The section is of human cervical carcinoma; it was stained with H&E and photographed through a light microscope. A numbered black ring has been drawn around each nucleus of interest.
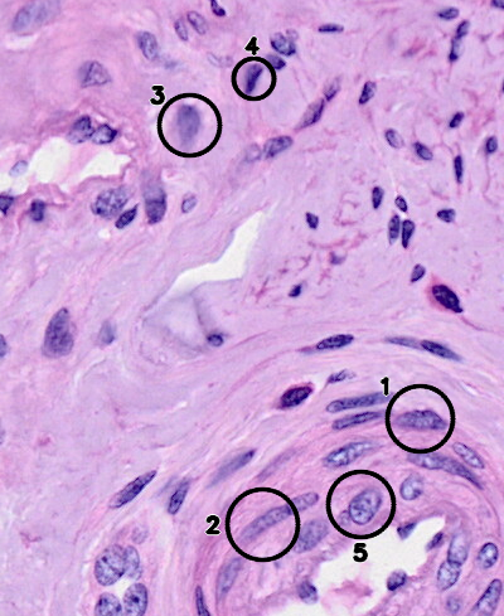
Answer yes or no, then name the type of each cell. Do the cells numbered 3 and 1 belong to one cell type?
No, unlike cell 3, which is a fibroblast, cell 1 is a smooth muscle cell.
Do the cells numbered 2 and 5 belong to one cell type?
Yes, it is as smooth muscle cells that cells 2 and 5 are both classified.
